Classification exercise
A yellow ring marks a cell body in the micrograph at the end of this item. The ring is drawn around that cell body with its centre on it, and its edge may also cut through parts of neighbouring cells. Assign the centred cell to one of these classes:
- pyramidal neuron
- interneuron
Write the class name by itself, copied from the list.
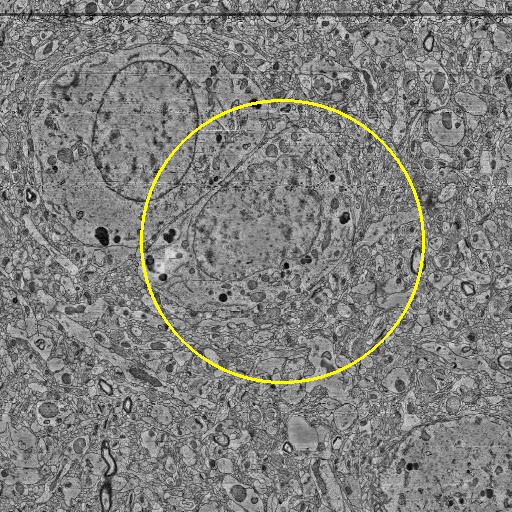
interneuron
